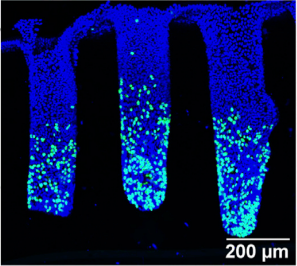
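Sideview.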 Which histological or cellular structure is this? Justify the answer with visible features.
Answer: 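Crypt. Elongated, finger-like, U-shaped structures closed at the bottom. Walls are lined by a dense layer of blue nuclei. The structures hang down side by side from a continuous upper surface layer.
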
